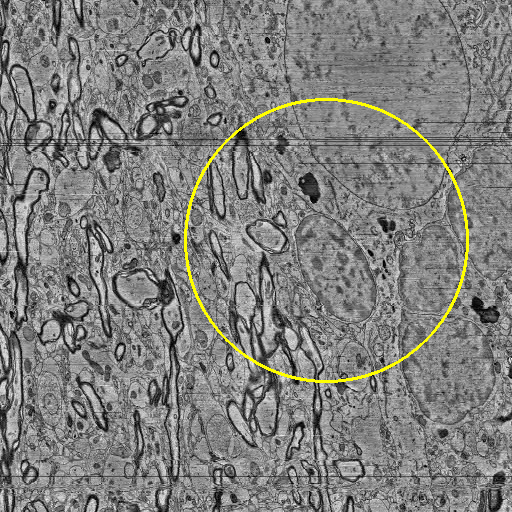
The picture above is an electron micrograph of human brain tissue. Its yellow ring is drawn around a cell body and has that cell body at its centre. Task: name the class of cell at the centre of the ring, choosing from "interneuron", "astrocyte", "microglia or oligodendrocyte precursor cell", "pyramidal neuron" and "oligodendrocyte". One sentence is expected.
The ring surrounds the body of a microglial cell or oligodendrocyte precursor cell.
